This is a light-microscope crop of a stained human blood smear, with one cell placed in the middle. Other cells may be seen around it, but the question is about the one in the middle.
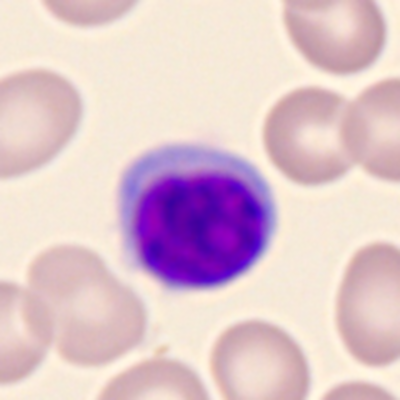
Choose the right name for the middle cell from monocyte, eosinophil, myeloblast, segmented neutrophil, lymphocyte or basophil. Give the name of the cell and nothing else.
lymphocyte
